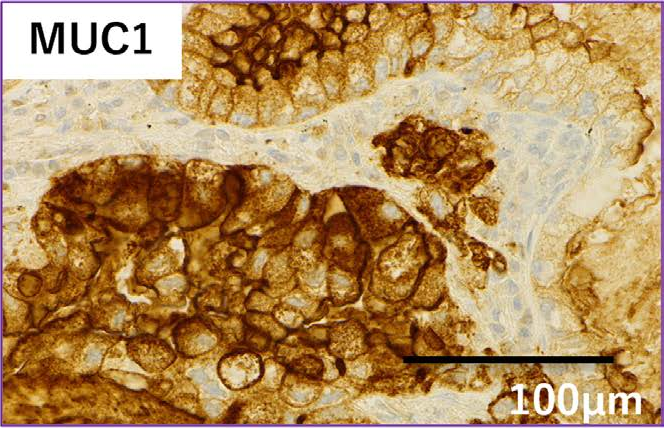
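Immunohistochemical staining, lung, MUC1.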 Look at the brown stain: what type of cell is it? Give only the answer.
Tumor cells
